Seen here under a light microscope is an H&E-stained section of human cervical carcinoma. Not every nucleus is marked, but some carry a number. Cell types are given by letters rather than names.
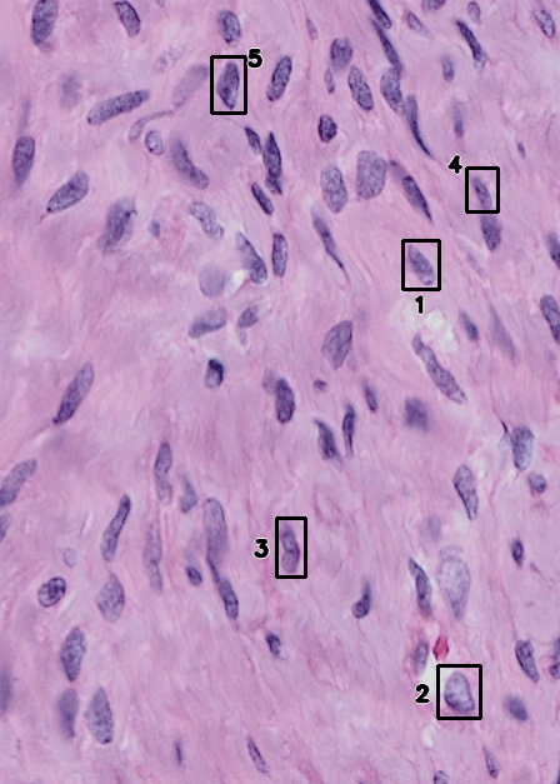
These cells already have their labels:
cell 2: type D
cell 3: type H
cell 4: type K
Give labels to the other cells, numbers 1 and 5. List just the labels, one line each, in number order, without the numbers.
type K
type K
